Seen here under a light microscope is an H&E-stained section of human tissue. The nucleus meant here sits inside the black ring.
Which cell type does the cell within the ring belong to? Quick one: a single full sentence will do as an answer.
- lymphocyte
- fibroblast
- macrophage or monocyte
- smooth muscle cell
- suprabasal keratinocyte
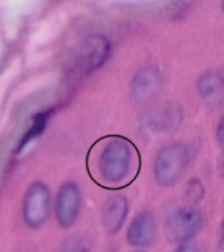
Considered by cell type, the cell within the ring is a suprabasal keratinocyte.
